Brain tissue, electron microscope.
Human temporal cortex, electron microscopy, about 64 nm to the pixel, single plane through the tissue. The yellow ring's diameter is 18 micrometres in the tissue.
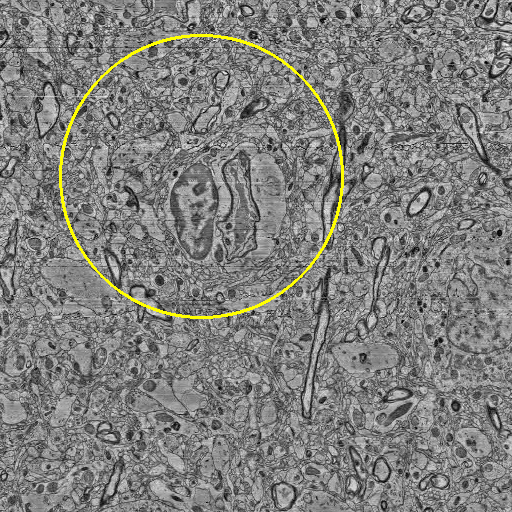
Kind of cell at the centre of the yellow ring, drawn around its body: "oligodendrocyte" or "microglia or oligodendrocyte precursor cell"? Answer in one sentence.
The ring's centre falls on a microglial cell or oligodendrocyte precursor cell.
